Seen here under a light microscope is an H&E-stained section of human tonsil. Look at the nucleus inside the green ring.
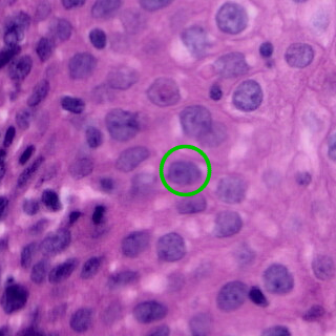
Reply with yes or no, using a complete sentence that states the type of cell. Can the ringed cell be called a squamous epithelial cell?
Yes, what the ringed cell represents in this tissue is a squamous epithelial cell.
